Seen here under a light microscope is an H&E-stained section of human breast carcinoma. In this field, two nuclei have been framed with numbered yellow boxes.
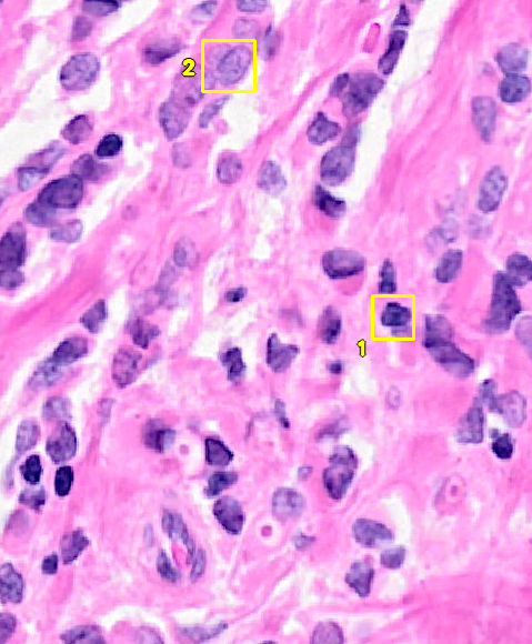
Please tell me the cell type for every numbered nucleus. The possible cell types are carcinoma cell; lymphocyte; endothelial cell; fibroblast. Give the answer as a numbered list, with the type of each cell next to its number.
1. lymphocyte
2. carcinoma cell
